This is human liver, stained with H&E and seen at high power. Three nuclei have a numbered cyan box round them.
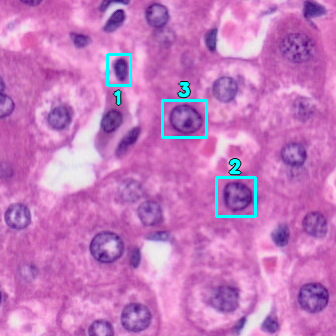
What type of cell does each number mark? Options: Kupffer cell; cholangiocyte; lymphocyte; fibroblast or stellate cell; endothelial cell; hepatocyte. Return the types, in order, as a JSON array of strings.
["lymphocyte", "hepatocyte", "hepatocyte"]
